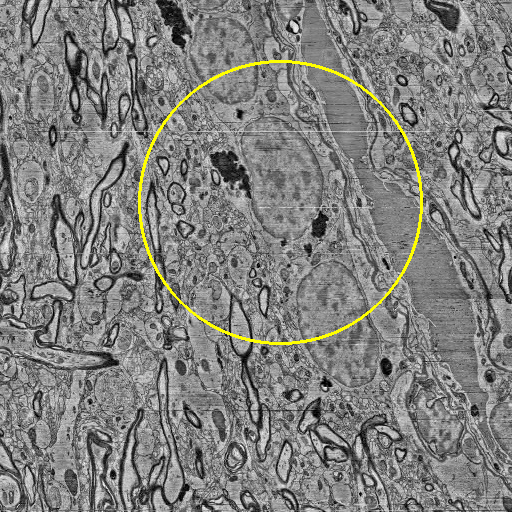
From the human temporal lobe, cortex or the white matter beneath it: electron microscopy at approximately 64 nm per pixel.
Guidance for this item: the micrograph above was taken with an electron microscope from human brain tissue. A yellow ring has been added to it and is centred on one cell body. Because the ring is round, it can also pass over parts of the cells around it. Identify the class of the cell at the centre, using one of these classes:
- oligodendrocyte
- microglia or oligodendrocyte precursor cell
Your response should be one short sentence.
The ring surrounds the body of an oligodendrocyte.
